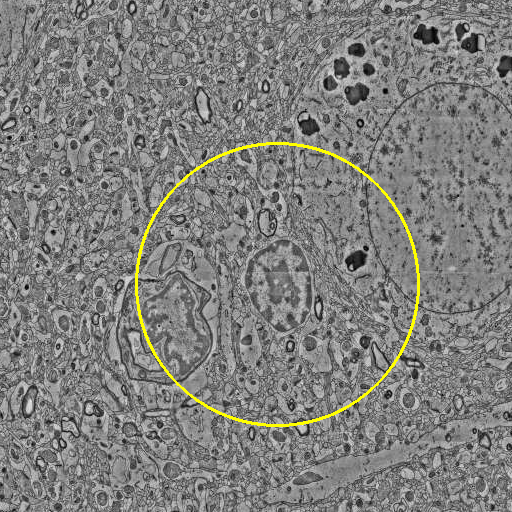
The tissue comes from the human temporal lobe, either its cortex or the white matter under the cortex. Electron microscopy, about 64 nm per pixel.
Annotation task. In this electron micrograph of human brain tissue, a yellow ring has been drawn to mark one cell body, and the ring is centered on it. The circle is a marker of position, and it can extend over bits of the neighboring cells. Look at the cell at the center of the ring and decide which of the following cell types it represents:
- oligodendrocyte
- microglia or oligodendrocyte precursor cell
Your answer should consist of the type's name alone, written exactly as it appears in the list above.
microglia or oligodendrocyte precursor cell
